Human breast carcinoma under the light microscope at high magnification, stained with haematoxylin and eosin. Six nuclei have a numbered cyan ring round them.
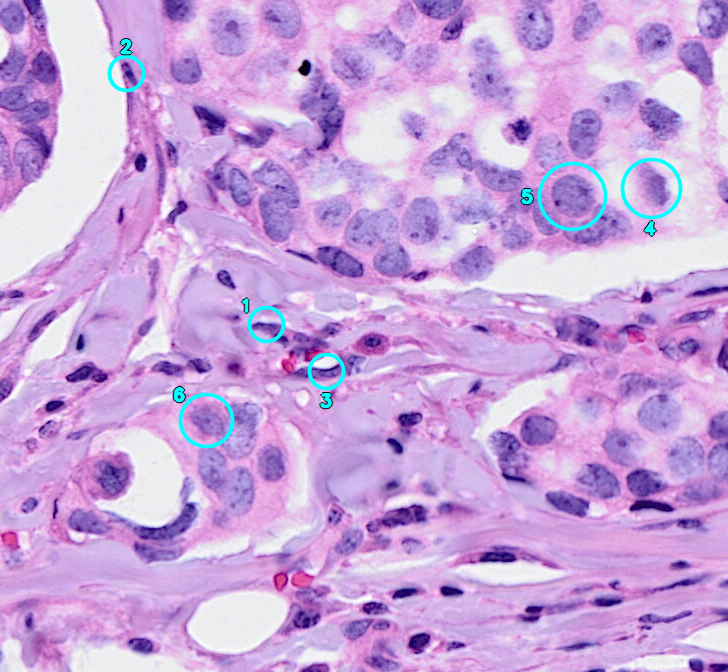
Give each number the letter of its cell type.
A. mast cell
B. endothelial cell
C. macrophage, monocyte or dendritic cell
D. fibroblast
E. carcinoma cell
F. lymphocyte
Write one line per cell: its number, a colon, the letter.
1: D
2: D
3: B
4: E
5: E
6: E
